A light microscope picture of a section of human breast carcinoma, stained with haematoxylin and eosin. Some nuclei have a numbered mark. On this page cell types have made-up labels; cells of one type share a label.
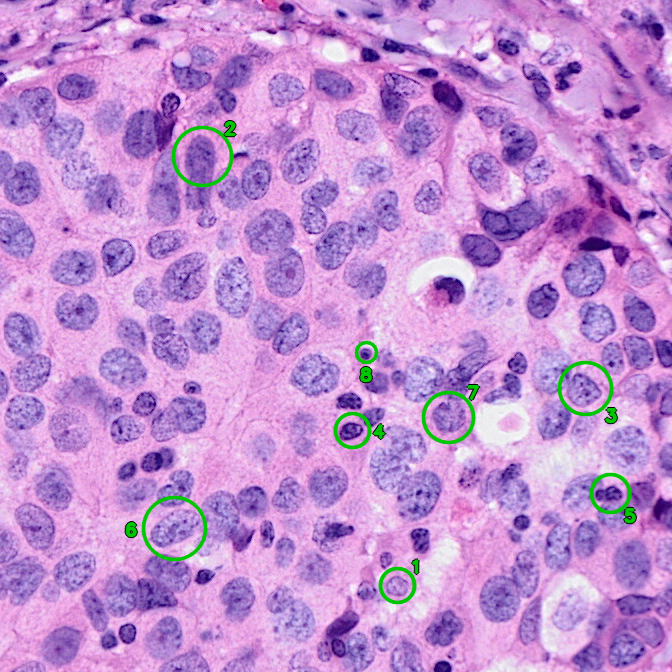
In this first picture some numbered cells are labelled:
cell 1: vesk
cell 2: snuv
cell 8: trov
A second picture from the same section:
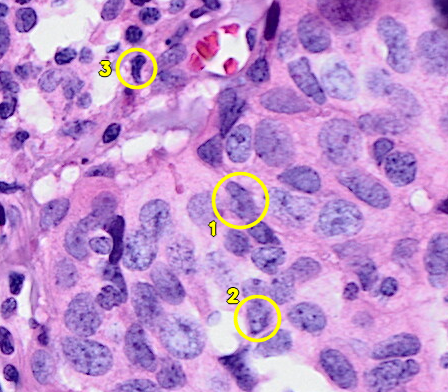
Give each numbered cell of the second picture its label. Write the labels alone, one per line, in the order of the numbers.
snuv
snuv
trov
